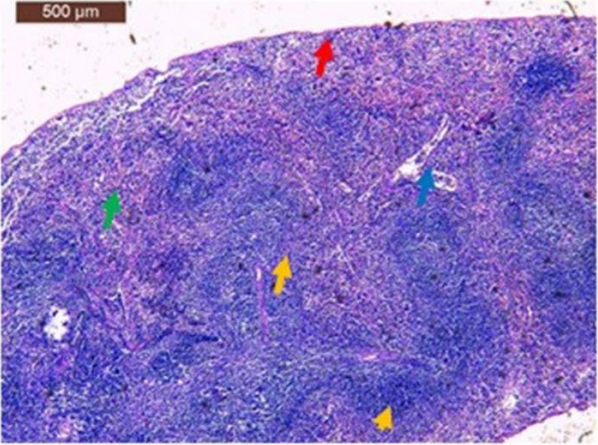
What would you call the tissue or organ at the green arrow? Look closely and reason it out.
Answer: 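The green arrow points at looser, more pinkish-purple tissue. This tissue lies between the dense blue nodules.
Conclusion: red pulp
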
